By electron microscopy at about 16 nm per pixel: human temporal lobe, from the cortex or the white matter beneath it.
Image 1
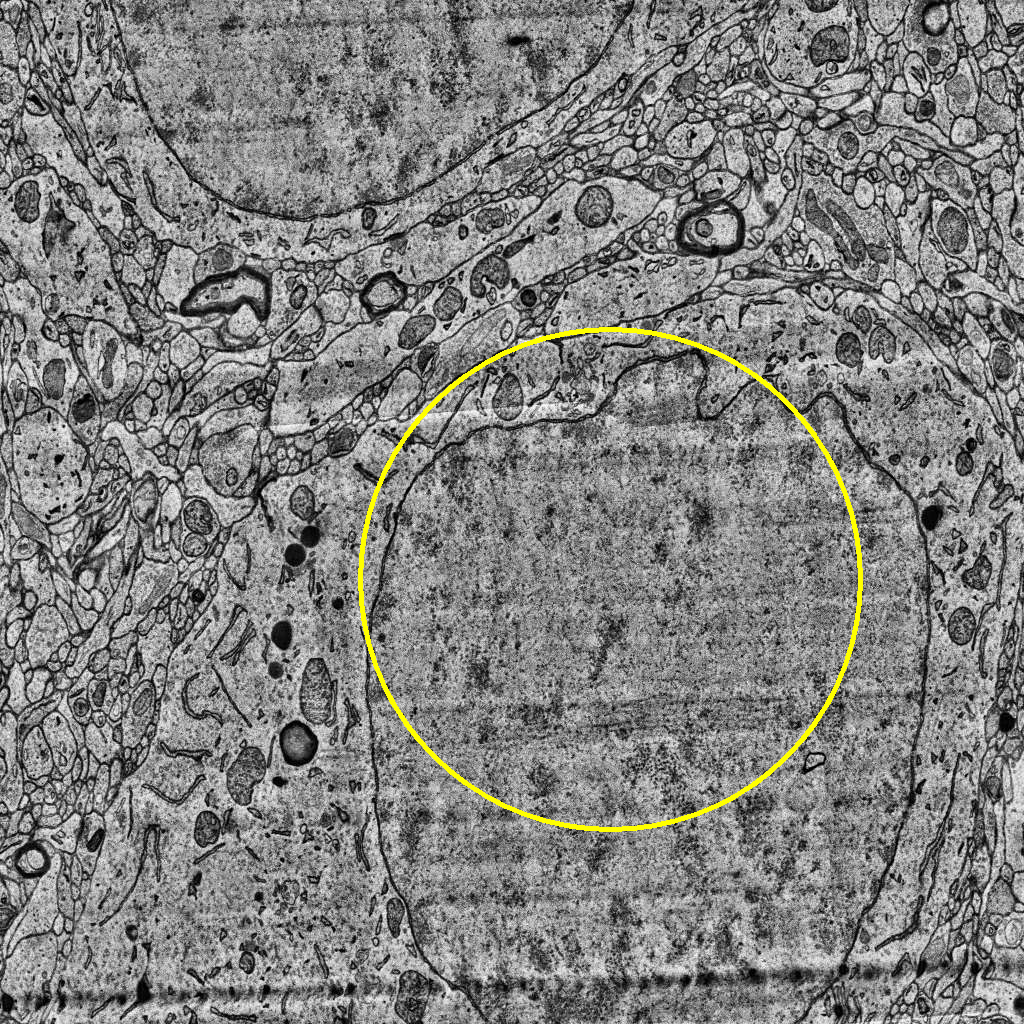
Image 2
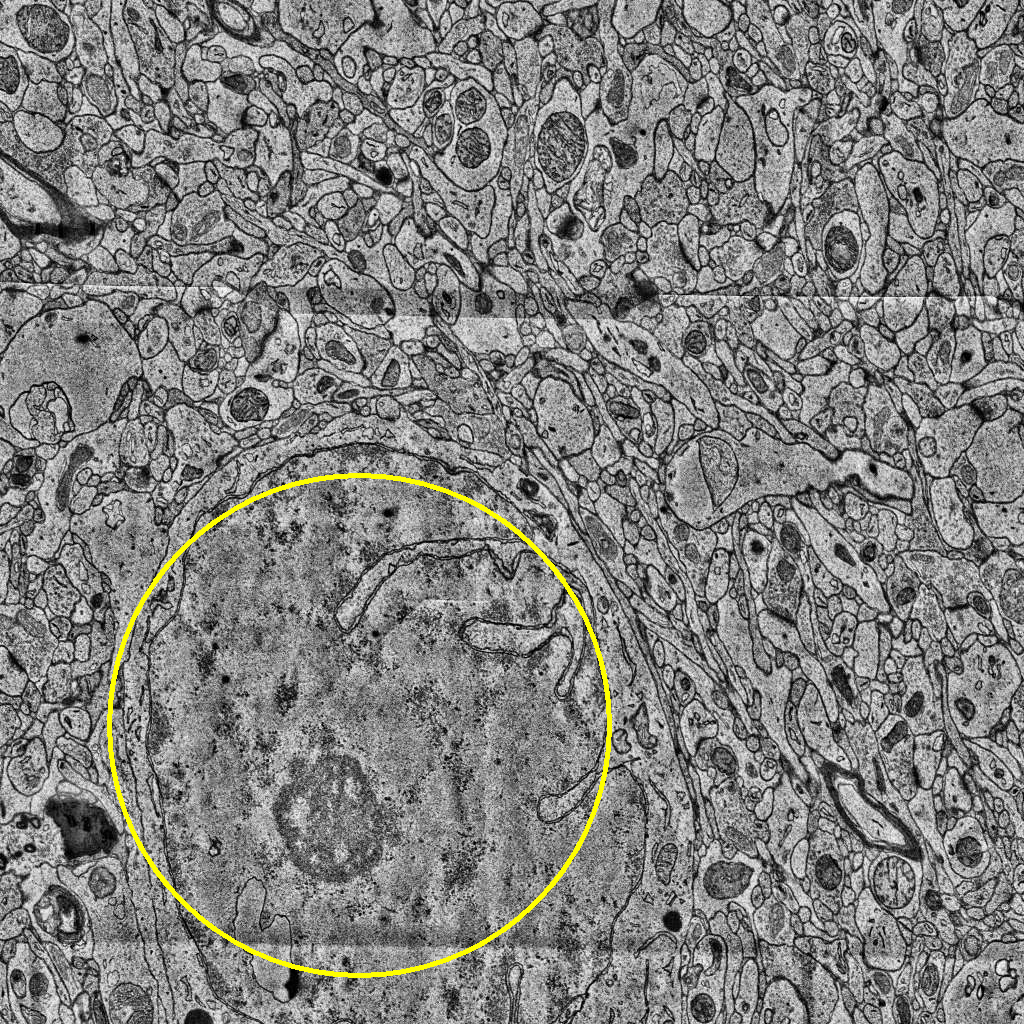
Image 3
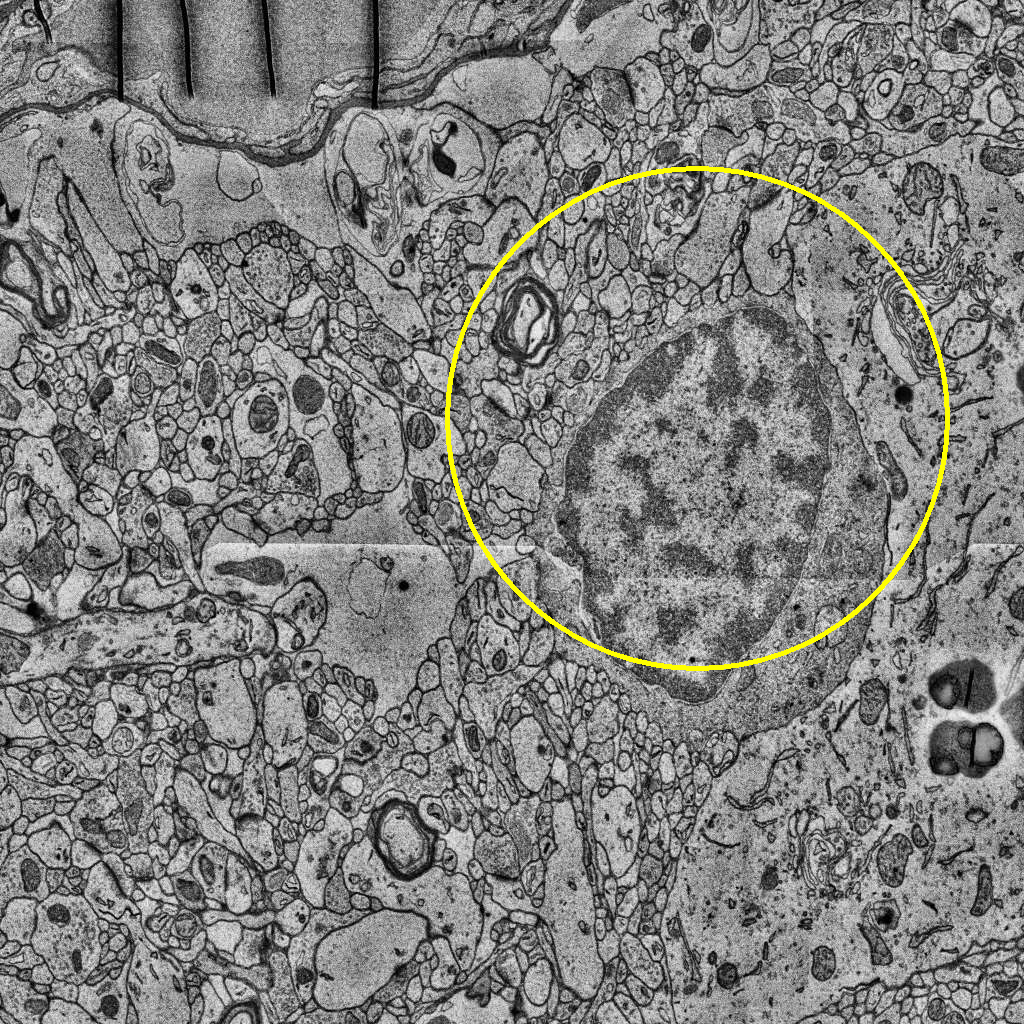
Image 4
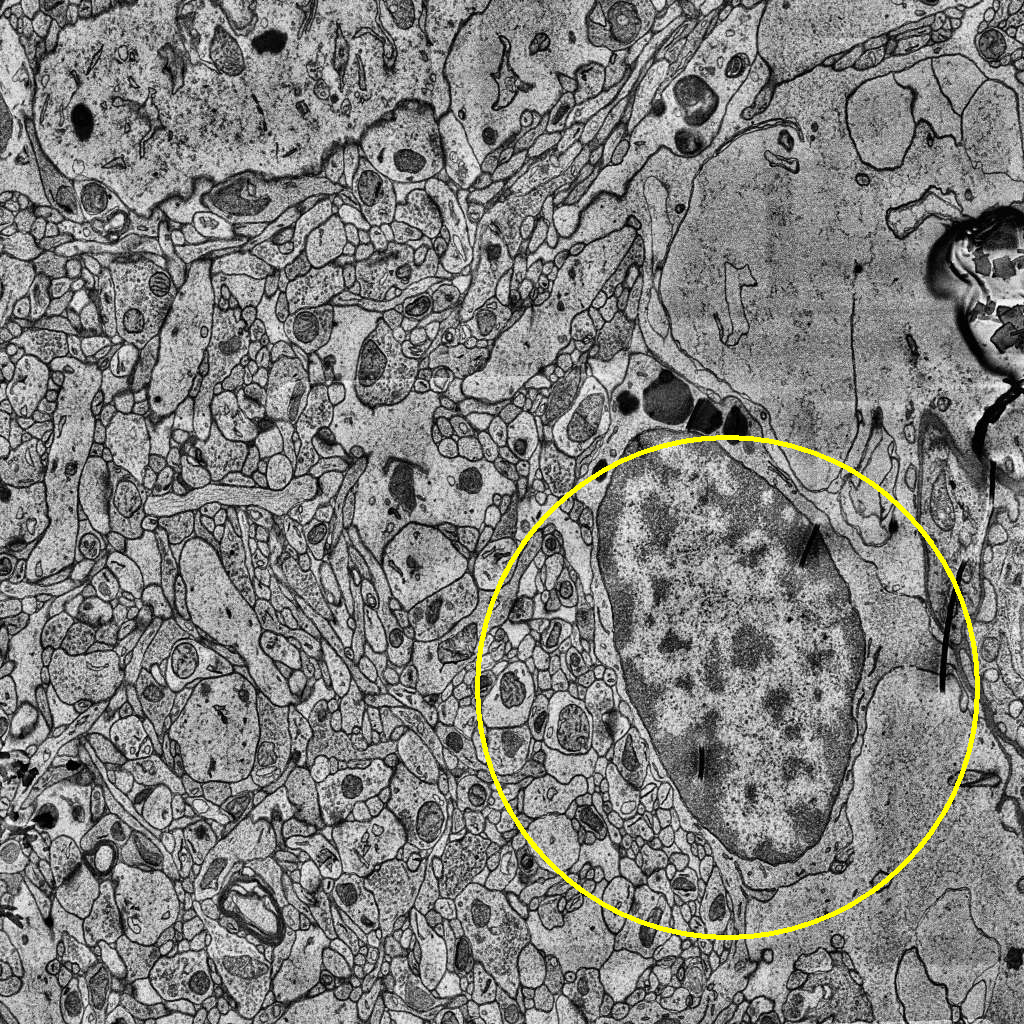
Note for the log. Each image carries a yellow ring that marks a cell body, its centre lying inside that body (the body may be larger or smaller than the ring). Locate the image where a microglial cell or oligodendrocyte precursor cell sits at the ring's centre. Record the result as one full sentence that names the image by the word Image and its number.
Image 4 has the wanted cell sitting at the centre of its ring.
